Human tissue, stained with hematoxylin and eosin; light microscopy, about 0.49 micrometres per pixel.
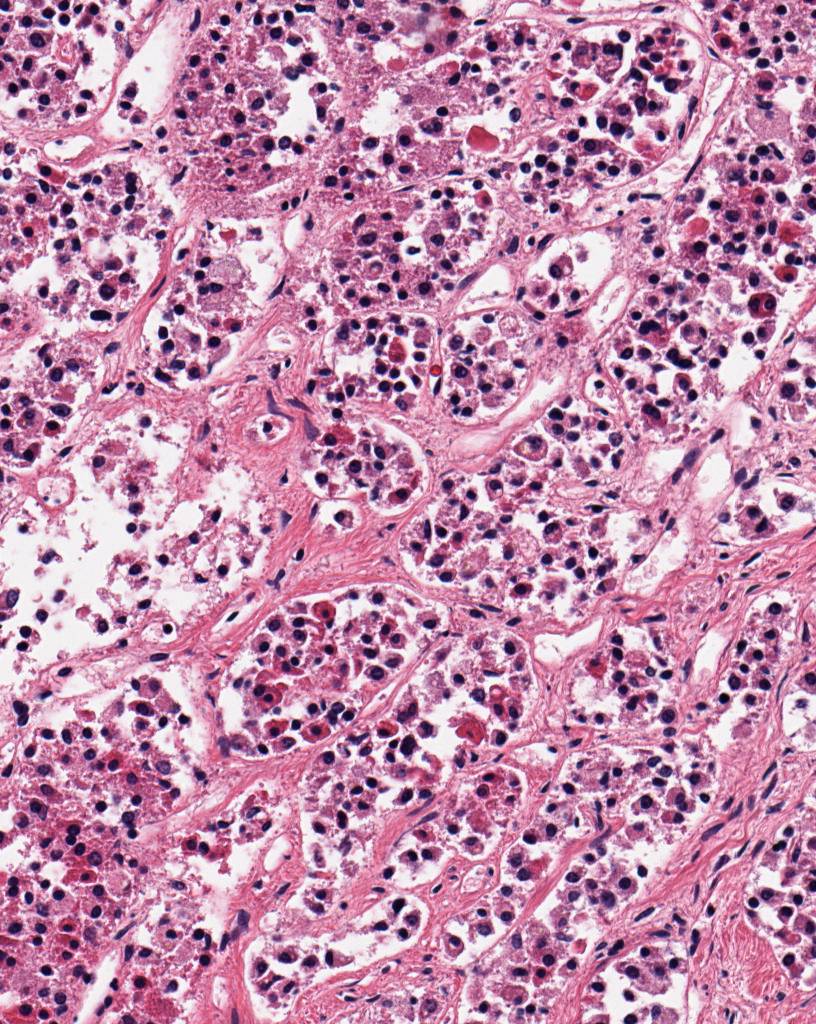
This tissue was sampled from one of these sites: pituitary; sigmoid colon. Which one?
pituitary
